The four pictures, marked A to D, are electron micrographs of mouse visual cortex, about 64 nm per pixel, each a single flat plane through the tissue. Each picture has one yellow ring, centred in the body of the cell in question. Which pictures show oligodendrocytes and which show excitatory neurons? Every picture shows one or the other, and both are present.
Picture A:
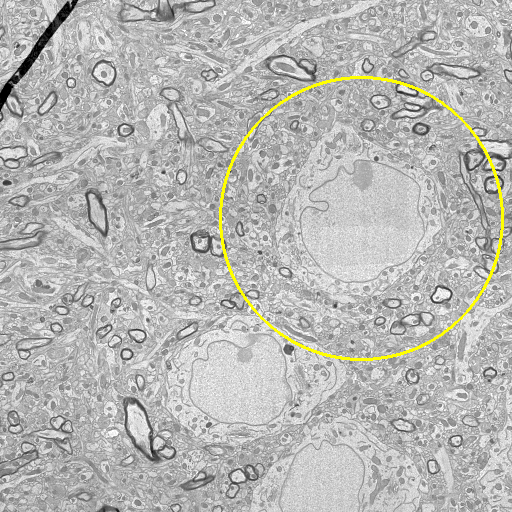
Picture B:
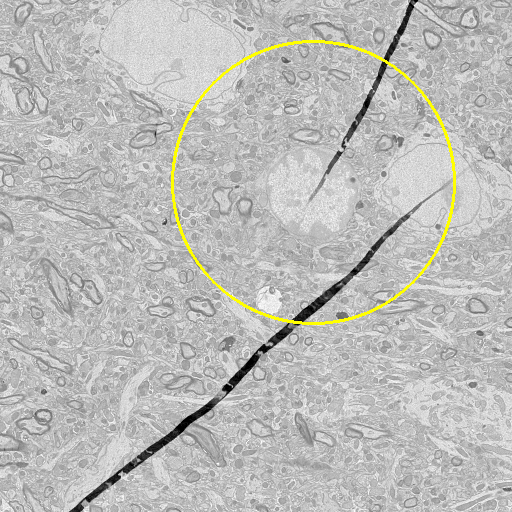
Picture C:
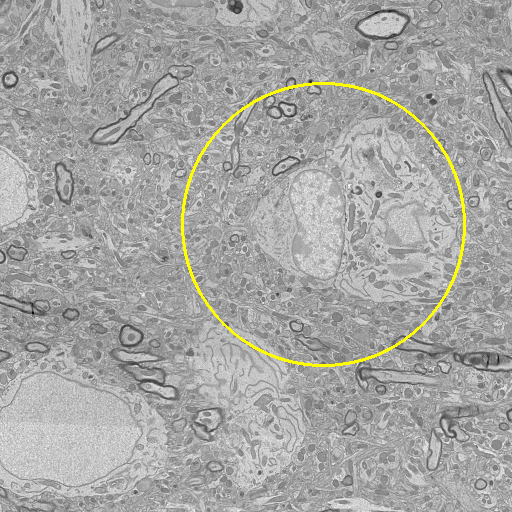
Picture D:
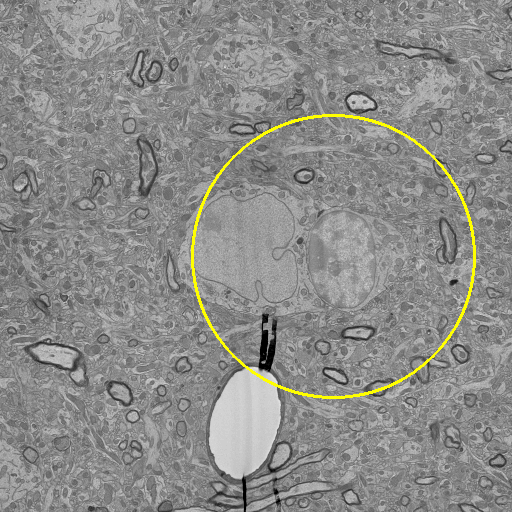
Pictures B, C and D show oligodendrocytes, and picture A shows an excitatory neuron.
